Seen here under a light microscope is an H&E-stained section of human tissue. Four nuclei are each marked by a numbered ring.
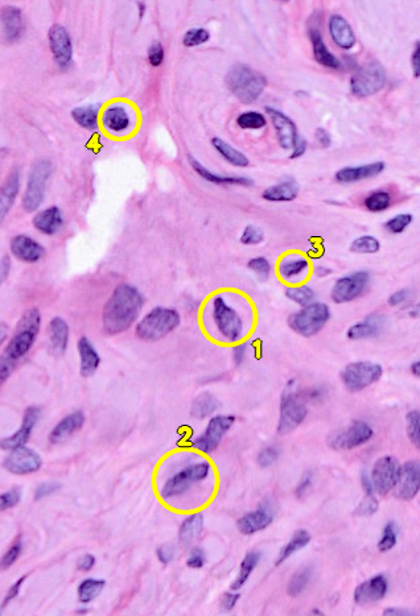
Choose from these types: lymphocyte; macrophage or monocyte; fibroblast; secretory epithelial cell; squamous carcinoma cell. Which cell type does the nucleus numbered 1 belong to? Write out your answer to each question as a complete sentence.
Number 1 among the marked cells is a fibroblast.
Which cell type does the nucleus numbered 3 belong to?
Nucleus 3 in this section belongs to a fibroblast.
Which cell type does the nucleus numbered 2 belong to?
Among the marked cells, number 2 is a fibroblast.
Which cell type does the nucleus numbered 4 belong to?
The one labeled 4 is a lymphocyte, to put it simply.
